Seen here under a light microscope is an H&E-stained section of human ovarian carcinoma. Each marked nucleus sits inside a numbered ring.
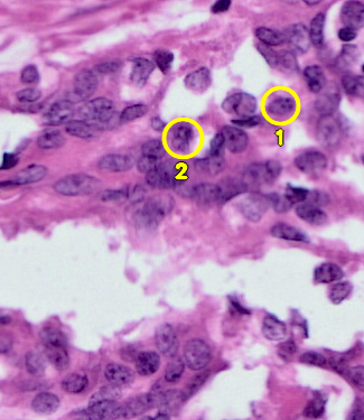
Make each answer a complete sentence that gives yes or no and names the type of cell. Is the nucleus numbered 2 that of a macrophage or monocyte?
No, calling cell 2 a macrophage or monocyte is a mistake; it is a carcinoma cell.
